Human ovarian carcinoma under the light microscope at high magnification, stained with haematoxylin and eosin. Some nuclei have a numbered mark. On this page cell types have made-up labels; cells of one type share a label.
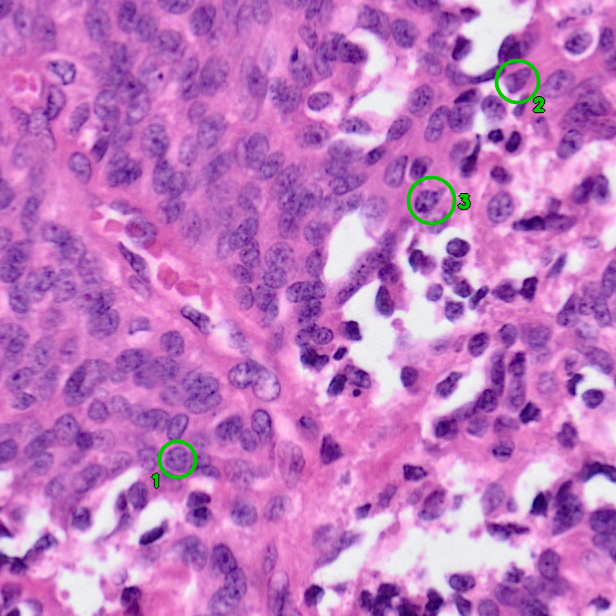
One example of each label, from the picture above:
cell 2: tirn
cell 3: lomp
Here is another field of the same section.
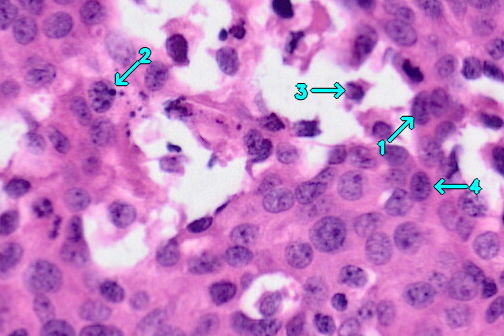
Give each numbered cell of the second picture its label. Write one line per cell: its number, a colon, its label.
1: tirn
2: lomp
3: tirn
4: tirn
